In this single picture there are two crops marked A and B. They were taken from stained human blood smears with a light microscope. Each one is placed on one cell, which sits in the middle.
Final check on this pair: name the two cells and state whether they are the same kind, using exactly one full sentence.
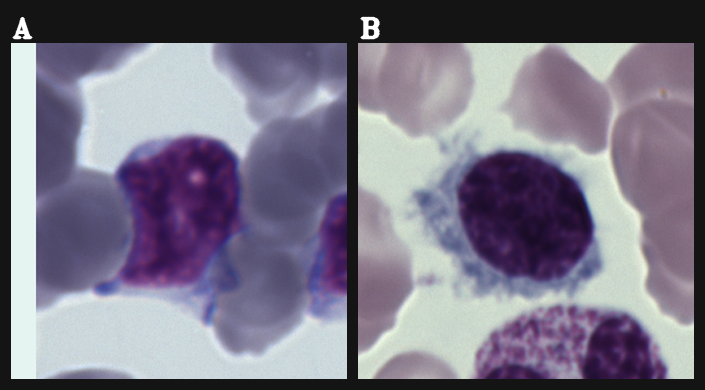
No, the assignment should read crop A, a typical lymphocyte; crop B, a hairy cell.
